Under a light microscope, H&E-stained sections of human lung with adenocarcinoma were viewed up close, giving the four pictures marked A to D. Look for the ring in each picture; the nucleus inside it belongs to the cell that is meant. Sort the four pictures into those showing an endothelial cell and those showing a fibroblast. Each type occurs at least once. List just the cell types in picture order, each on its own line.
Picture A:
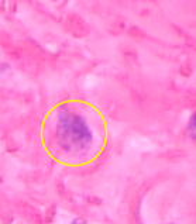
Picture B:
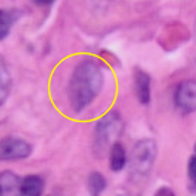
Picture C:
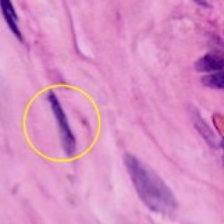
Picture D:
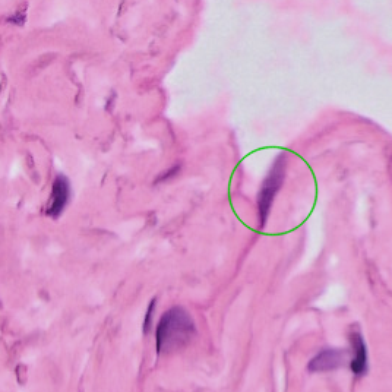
fibroblast
endothelial cell
fibroblast
endothelial cell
